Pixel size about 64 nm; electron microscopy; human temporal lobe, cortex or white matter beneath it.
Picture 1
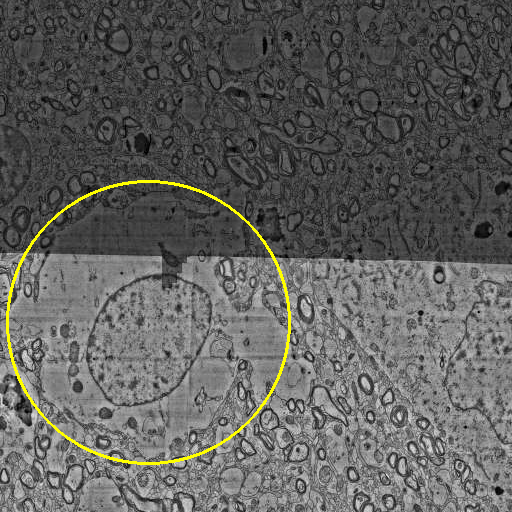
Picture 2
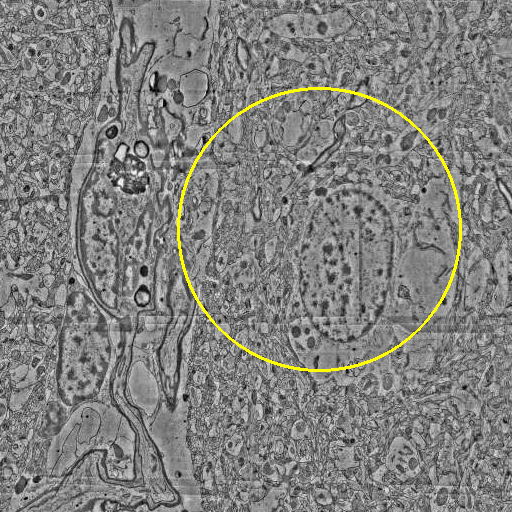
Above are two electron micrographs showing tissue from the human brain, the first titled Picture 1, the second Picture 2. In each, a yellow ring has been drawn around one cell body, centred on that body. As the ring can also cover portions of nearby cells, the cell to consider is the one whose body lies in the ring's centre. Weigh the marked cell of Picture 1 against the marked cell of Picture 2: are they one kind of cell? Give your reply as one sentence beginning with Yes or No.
Yes, the two cells sitting at the ring centres in the pictures are of one kind.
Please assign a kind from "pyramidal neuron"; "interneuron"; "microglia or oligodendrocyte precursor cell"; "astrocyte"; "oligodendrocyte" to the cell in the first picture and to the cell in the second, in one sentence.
Each of the two cells is an astrocyte.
